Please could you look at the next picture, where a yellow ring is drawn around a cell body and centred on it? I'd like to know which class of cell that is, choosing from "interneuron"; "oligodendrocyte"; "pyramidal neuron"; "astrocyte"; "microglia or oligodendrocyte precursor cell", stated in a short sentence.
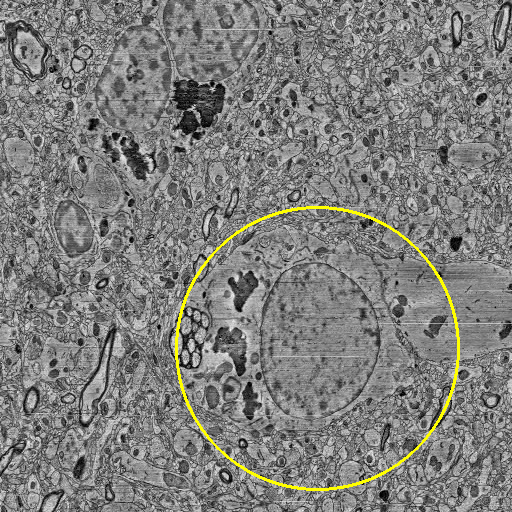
The ring's centre lies on an astrocyte.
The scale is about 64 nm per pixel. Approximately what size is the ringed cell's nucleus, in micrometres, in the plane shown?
The nucleus is approximately 10 micrometers long by 8 micrometers wide in this plane.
